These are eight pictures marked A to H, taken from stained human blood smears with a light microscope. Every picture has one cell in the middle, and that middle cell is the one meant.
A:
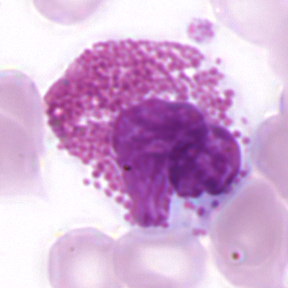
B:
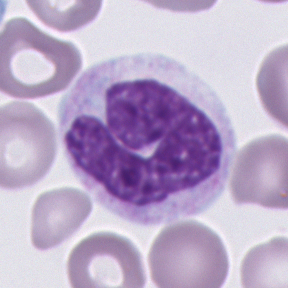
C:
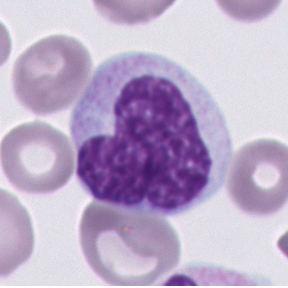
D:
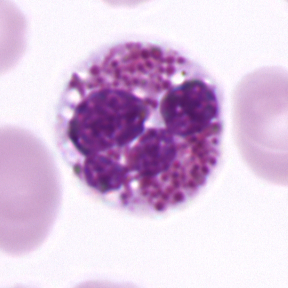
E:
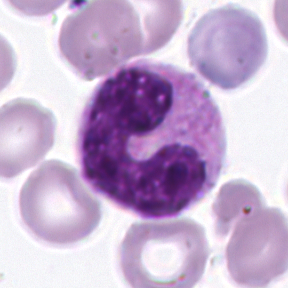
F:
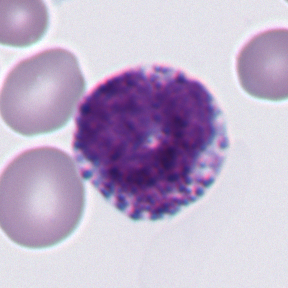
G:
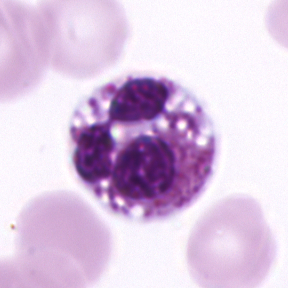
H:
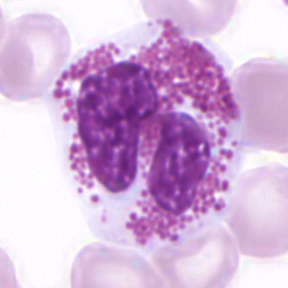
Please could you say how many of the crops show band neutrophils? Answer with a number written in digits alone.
3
